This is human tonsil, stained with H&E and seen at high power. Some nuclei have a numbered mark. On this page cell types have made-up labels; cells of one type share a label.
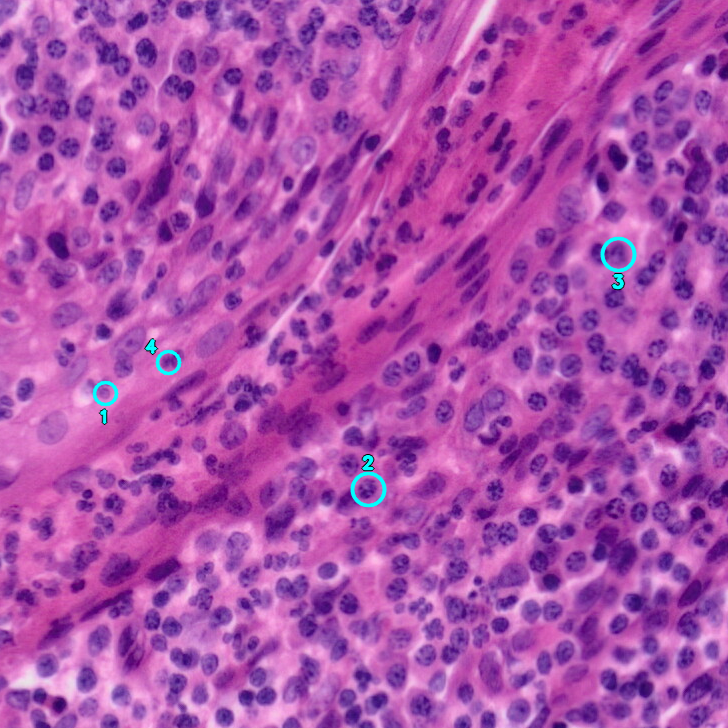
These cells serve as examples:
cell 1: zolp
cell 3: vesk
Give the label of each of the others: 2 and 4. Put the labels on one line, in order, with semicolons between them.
vesk; zolp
